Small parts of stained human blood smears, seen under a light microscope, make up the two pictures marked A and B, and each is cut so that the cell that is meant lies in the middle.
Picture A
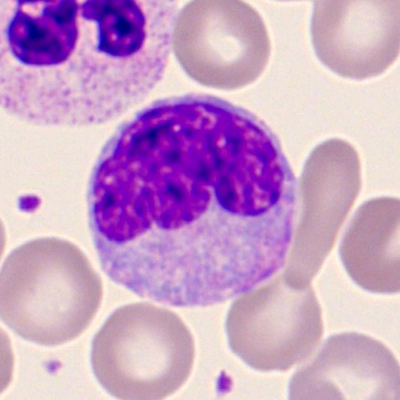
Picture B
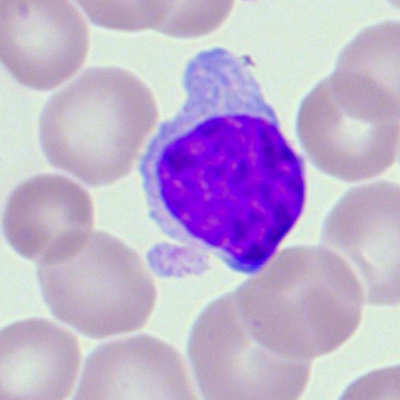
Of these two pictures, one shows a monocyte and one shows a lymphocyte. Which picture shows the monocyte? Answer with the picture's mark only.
A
